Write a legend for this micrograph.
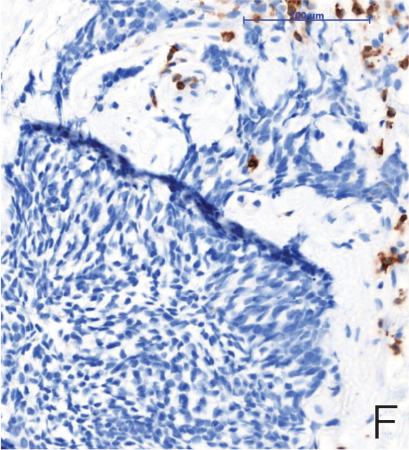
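A large nest of densely packed, spindle to oval tumor cells occupies the lower part, its nuclei blue from the counterstain with no brown colour at all. A dark blue line marks an edge or fold across the nest. In the surrounding loose pale stroma a few small round cells are stained brown, standing out against the blue background.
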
